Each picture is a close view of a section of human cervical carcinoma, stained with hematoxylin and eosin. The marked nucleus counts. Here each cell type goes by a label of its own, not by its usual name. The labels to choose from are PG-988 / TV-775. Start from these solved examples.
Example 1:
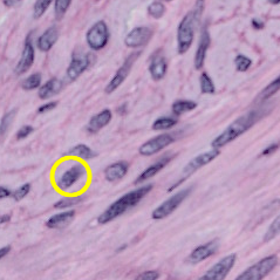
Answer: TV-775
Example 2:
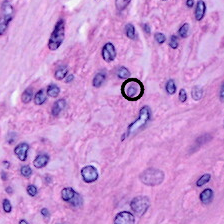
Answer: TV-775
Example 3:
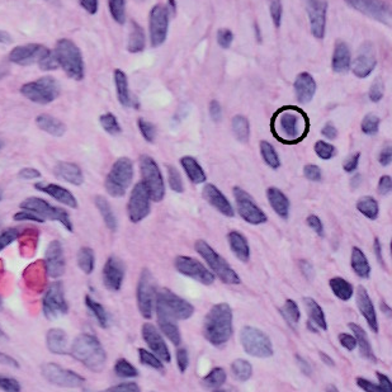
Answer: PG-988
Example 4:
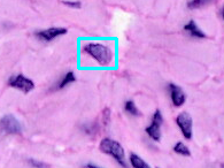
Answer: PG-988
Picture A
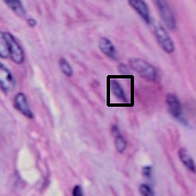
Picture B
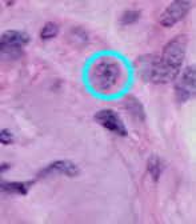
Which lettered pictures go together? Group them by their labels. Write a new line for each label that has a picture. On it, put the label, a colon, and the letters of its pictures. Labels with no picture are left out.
TV-775: A, B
